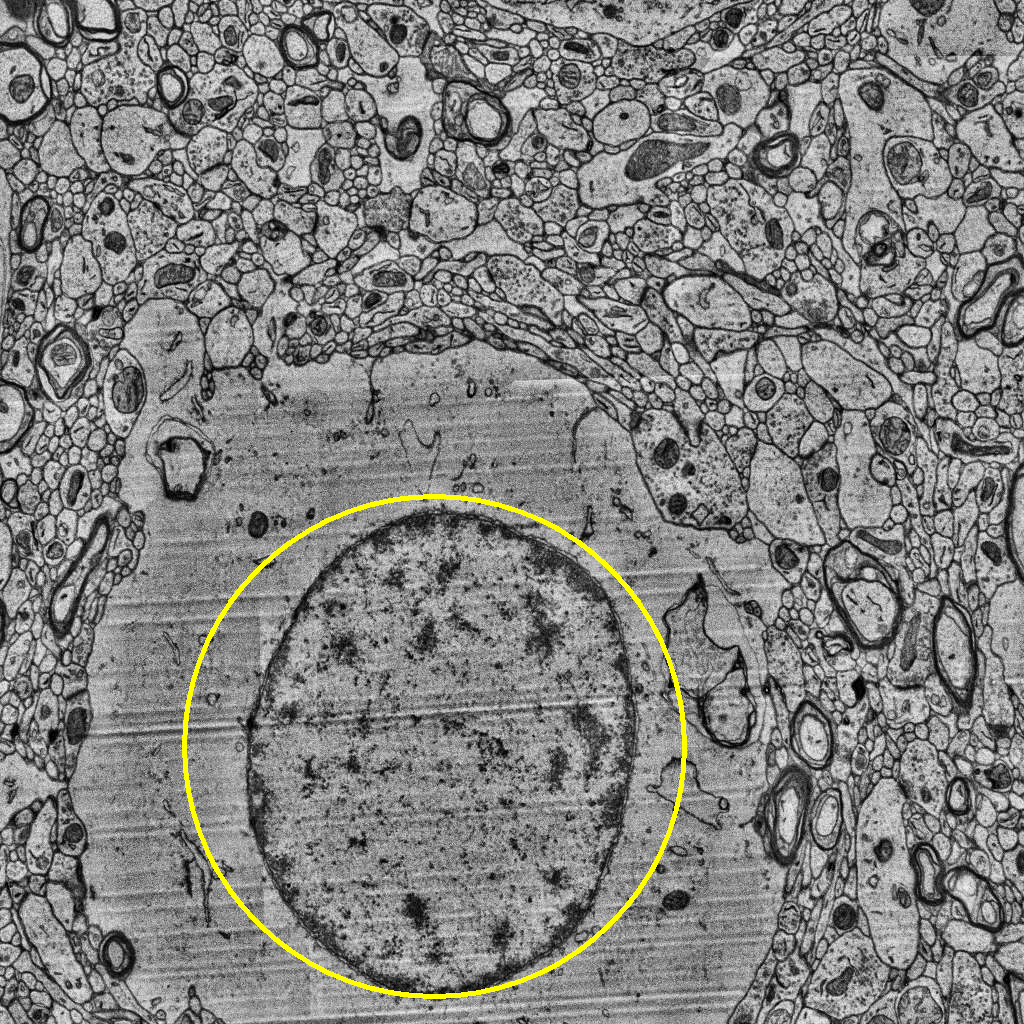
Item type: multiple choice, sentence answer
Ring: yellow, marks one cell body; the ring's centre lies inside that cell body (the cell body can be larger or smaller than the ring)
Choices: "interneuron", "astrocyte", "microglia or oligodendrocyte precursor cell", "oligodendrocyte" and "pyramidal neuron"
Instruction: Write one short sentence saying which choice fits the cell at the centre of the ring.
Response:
The centre of this ring lies on an astrocyte.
